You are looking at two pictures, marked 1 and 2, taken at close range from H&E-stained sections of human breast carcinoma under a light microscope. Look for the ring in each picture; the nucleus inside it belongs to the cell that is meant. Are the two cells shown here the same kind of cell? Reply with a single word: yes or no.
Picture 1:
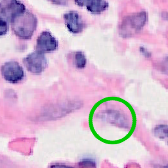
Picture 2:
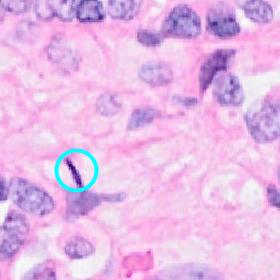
no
